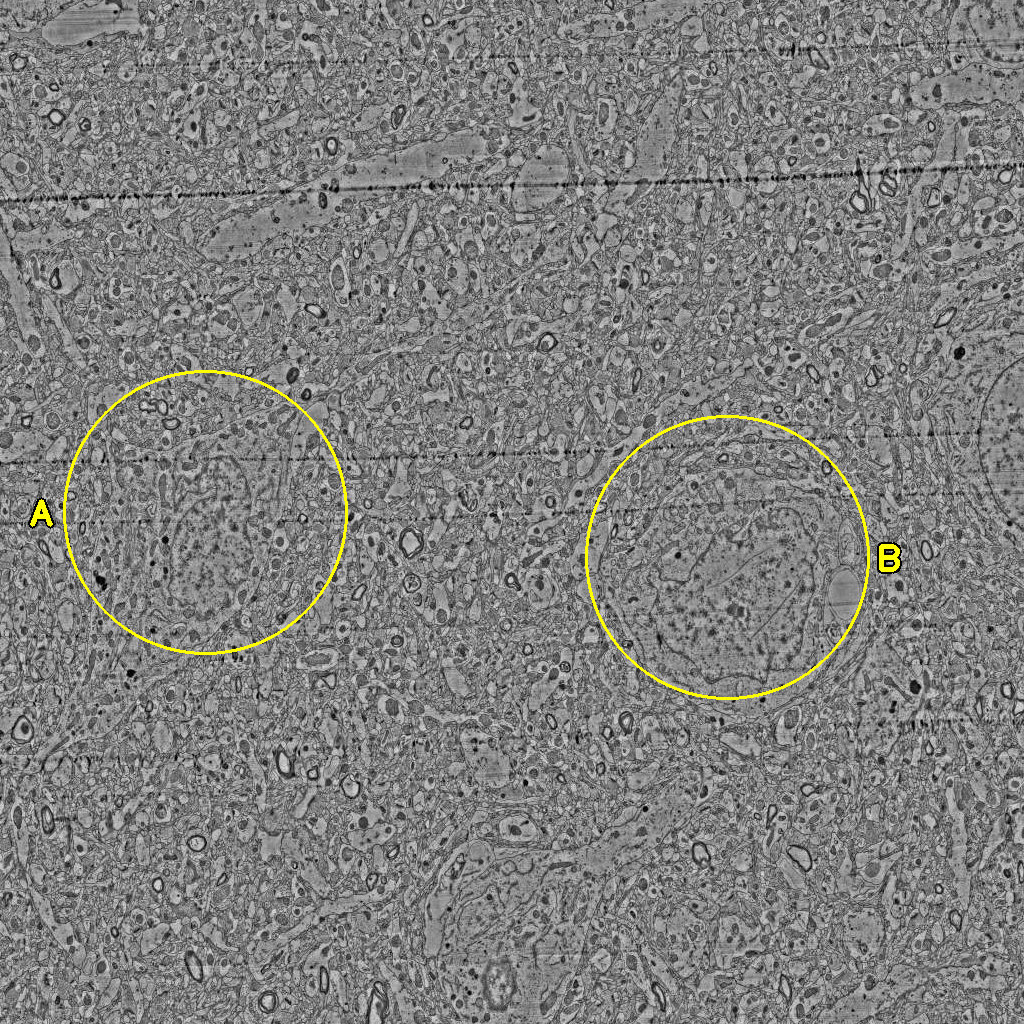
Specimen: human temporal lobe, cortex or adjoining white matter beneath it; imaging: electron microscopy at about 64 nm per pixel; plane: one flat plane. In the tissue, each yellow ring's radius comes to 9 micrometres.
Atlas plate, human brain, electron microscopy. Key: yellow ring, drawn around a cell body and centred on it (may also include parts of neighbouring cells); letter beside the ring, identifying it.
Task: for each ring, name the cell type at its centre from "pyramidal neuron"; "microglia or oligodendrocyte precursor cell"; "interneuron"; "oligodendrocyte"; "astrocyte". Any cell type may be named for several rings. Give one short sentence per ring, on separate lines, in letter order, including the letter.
Ring A is centred over an interneuron.
Ring B is centred over an interneuron.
